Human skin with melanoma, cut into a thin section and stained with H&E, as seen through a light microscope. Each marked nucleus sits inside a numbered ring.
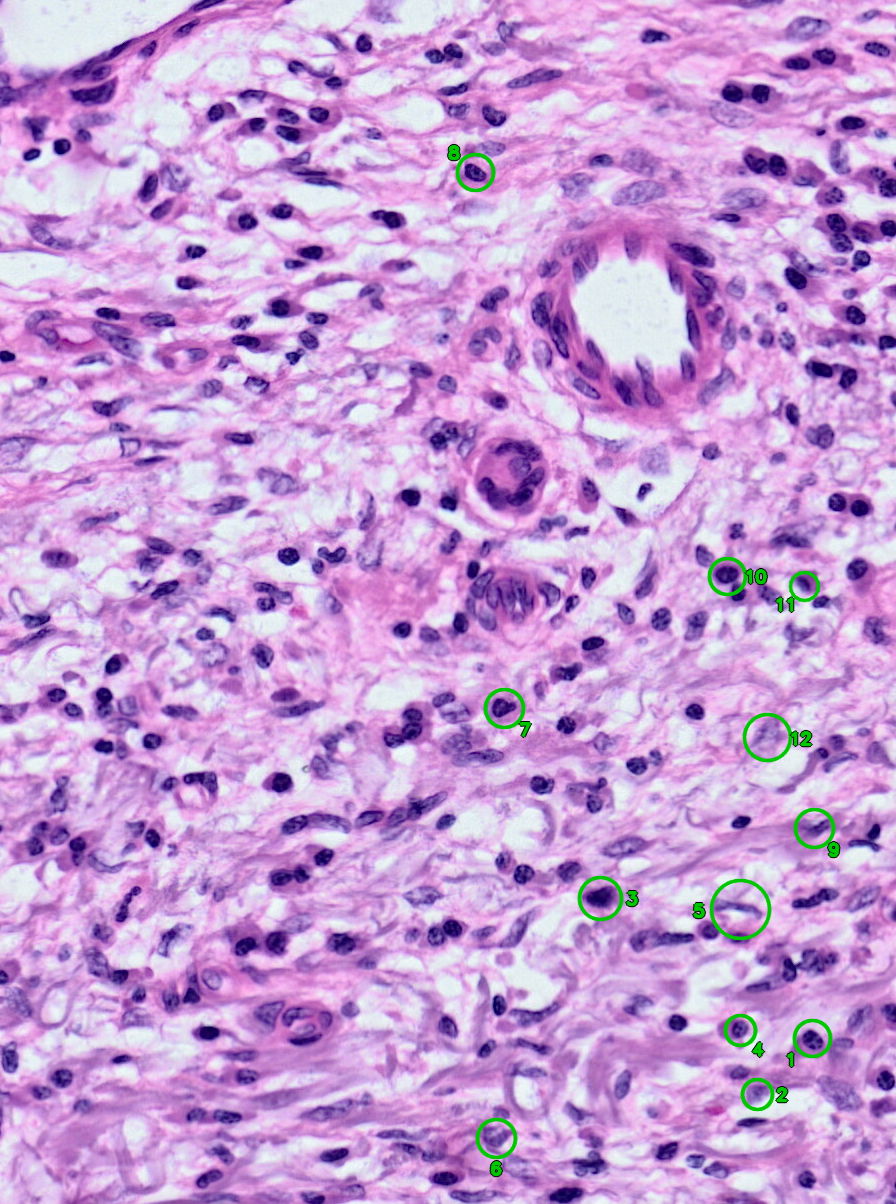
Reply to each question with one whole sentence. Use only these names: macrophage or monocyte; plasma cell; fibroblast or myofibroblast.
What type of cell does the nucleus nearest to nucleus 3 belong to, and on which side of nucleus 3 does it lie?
Just above and to the left of nucleus 3 lies the nearest nucleus, which belongs to a macrophage or monocyte.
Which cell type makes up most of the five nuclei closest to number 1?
The majority of the five nuclei closest to number 1 belong to fibroblasts or myofibroblasts.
